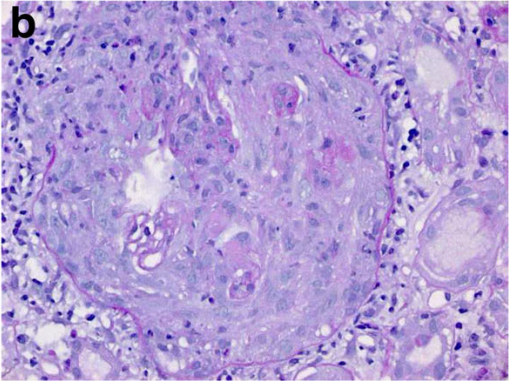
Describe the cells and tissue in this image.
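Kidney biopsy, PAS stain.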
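A glomerulus fills most of the field, its capsule traced by a thin magenta line, and the space inside it is crowded by a thick mass of plump cells with oval nuclei that encircles and compresses the remnant capillary loops. Around it lie tubules and interstitium with scattered dark inflammatory nuclei. This is a glomerulus with a cellular crescent.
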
